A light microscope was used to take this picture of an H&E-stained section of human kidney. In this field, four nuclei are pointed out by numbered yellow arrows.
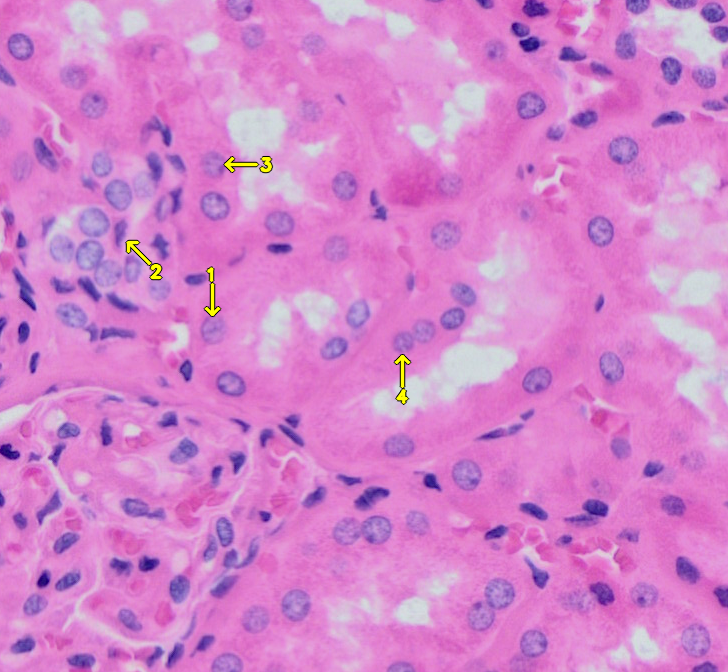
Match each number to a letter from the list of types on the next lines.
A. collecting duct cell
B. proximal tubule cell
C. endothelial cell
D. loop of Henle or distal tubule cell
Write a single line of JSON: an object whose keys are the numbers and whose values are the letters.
{"1": "B", "2": "A", "3": "B", "4": "B"}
